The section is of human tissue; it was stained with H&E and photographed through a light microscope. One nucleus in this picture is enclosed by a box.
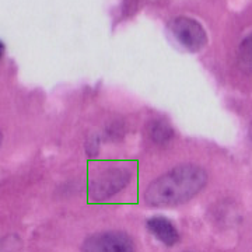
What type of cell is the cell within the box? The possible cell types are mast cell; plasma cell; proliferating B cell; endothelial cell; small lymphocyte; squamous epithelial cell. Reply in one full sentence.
Within this tissue, the cell within the box is a squamous epithelial cell.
